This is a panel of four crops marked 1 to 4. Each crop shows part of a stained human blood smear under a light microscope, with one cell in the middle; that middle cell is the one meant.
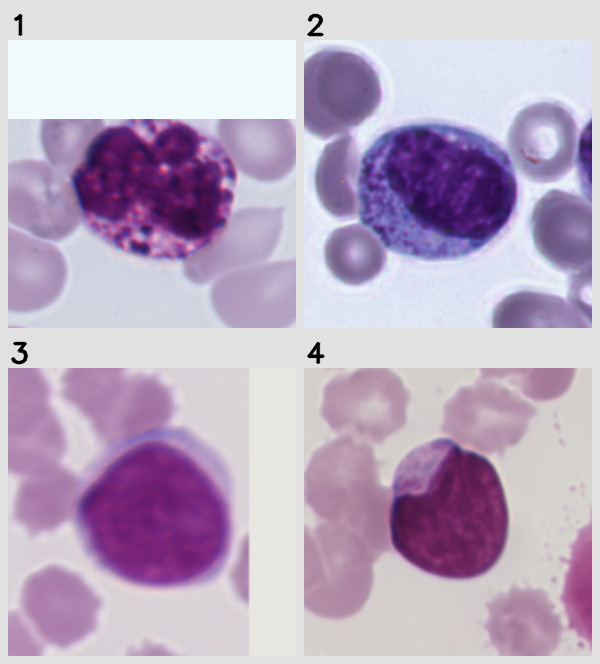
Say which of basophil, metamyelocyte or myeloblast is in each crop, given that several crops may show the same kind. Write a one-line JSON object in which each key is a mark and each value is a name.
{"1": "basophil", "2": "metamyelocyte", "3": "myeloblast", "4": "myeloblast"}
